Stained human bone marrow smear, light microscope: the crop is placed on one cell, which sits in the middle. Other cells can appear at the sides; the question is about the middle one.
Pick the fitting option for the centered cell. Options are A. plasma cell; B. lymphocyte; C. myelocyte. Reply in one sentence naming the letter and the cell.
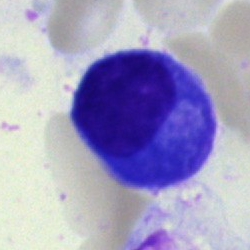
The cell in the middle is correctly identified as a plasma cell in option A.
